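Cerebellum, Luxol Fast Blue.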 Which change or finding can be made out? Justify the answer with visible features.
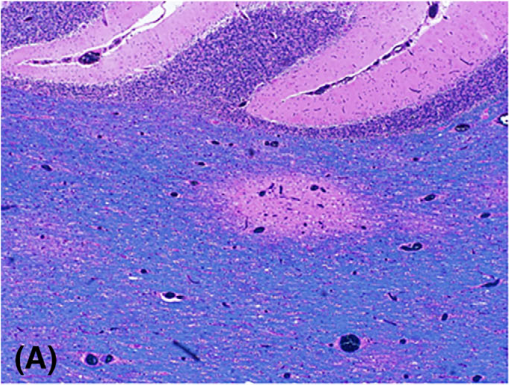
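Plaques. A pale pink oval area sits within otherwise blue-stained white matter. Cerebellar folia with dense granular layer lie above.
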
